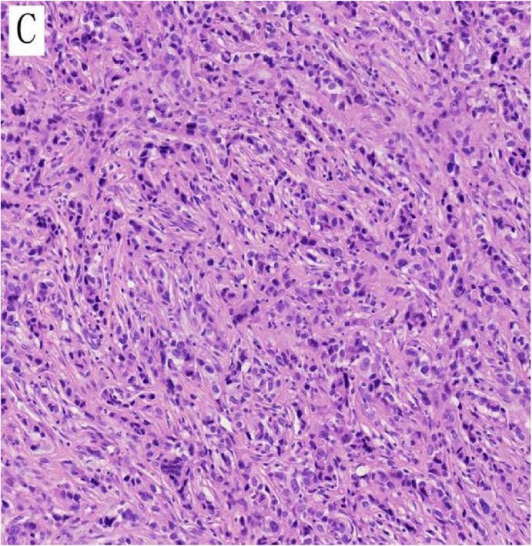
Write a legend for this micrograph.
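This shows tumor cells set in a pink fibrous stroma, arranged in narrow strands, cords and small clusters. The cells have a modest amount of pink cytoplasm, and strands of pink collagen-like tissue wind between the cell groups in a streaming pattern.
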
